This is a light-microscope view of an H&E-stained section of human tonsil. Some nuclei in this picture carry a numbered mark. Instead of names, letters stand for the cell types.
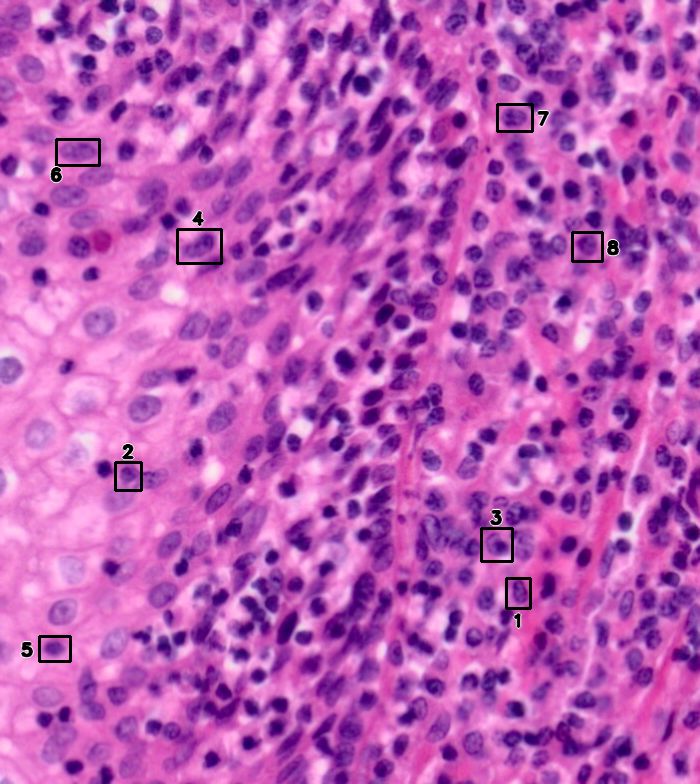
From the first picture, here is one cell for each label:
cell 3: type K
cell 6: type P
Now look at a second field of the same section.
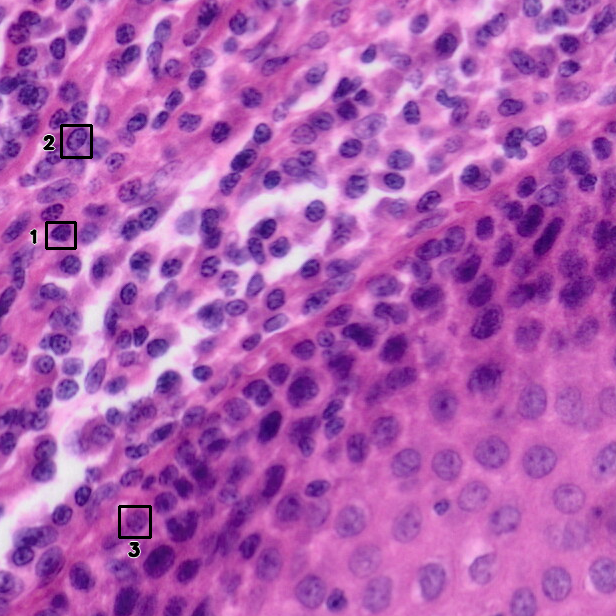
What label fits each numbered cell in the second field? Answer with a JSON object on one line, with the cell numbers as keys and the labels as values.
{"1": "type K", "2": "type K", "3": "type P"}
